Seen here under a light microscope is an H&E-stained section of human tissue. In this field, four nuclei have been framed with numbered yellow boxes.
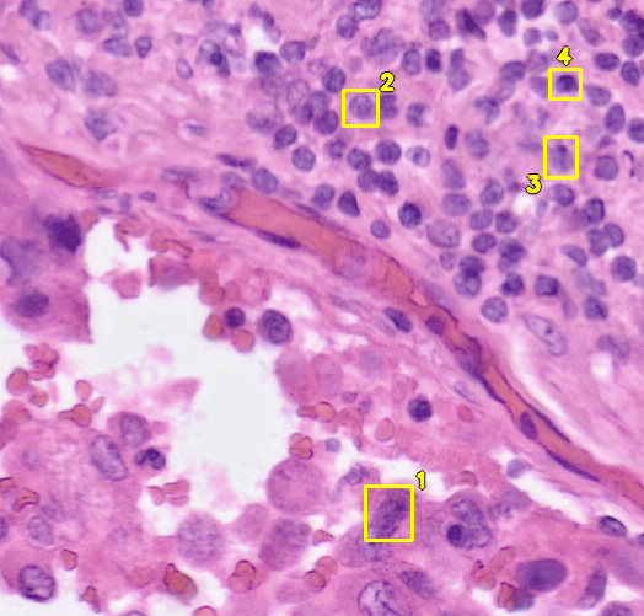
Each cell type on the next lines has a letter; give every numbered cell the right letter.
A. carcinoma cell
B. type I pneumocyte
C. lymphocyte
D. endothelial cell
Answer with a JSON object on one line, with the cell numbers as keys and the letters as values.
{"1": "A", "2": "C", "3": "C", "4": "C"}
